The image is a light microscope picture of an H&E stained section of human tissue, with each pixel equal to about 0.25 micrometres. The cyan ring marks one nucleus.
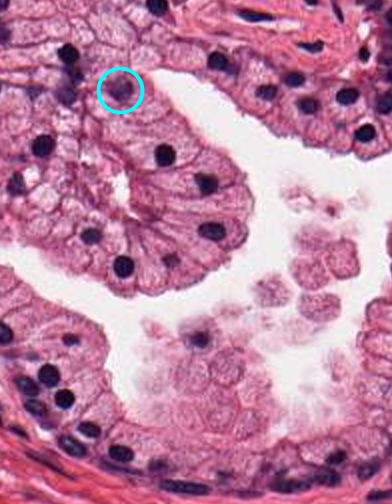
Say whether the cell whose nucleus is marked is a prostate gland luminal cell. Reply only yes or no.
yes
